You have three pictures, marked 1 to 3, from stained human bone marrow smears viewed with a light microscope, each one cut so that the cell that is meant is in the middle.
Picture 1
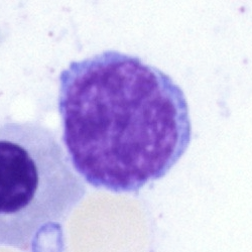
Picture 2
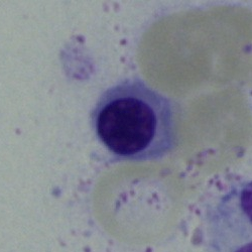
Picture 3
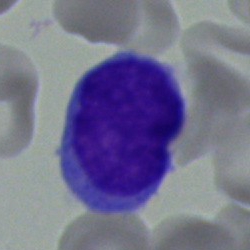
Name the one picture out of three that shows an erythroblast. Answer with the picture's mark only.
2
